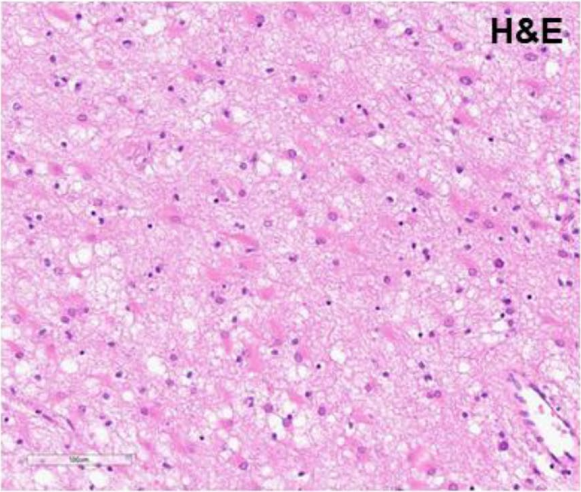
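This is brain parenchyma in which the pink neuropil is loosened and riddled with clear vacuoles, giving a spongy look. Numerous nuclei are scattered through it, and several cells have abundant glassy pink cytoplasm with eccentric nuclei, while a small vessel runs at the lower right edge.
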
